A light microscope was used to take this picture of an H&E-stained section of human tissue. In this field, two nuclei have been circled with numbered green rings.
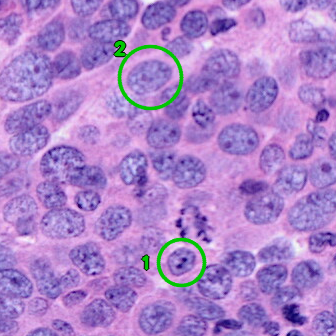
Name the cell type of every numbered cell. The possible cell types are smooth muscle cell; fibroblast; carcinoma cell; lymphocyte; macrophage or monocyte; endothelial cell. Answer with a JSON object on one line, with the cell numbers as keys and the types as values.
{"1": "macrophage or monocyte", "2": "carcinoma cell"}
